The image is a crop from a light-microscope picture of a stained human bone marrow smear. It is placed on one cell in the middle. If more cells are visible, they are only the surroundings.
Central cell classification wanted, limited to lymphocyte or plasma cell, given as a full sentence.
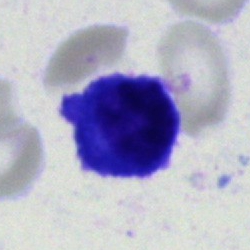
Seen at the centre of the crop is a plasma cell.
